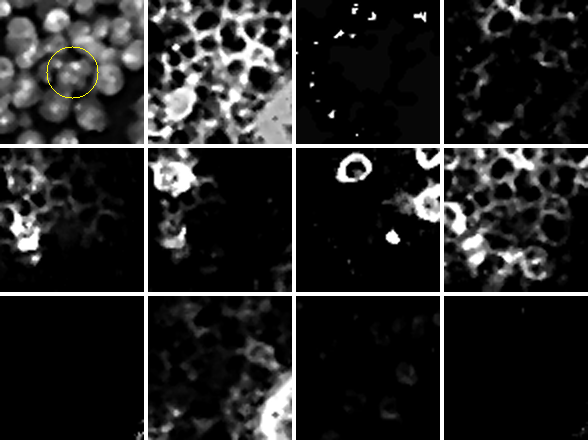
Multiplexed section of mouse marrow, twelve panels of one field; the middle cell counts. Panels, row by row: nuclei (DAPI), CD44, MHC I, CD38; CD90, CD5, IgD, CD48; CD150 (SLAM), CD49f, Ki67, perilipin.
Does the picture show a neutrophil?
Yes.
